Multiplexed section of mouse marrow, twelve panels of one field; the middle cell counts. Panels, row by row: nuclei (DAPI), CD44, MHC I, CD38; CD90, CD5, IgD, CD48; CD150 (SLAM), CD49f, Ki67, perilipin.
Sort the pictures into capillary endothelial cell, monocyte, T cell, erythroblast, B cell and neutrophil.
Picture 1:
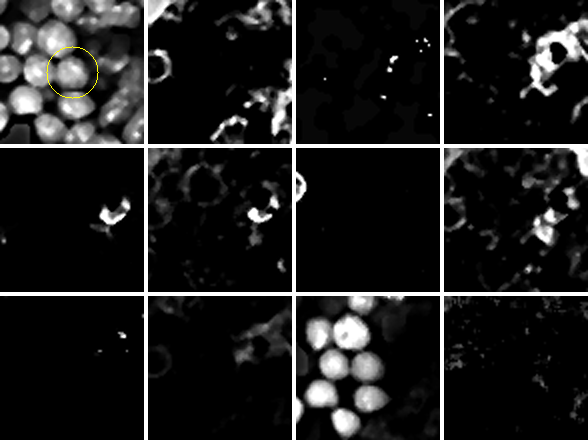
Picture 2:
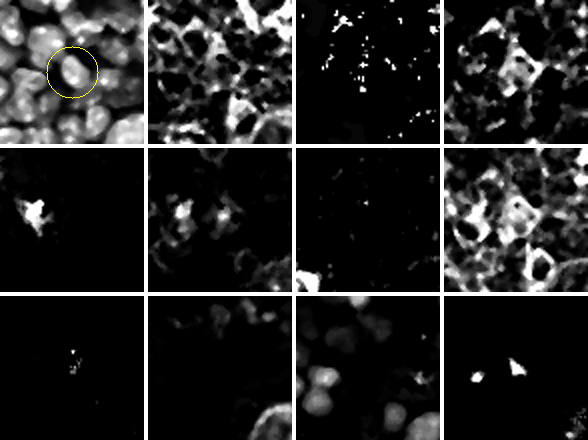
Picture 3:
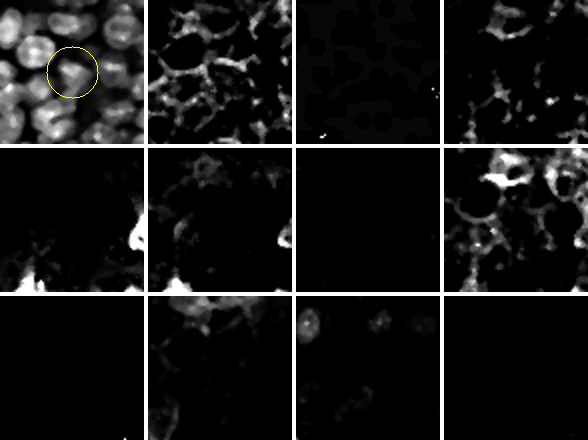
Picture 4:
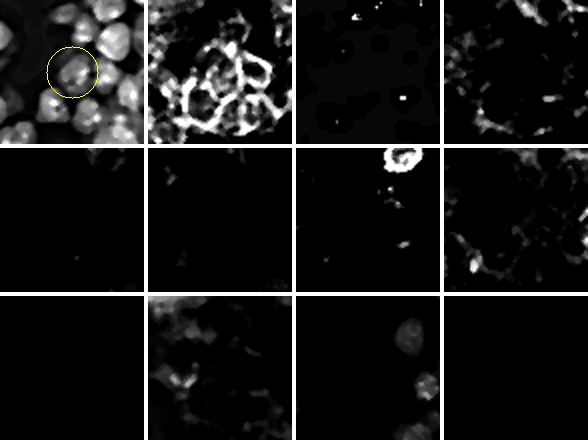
Erythroblasts: 1
Monocytes: 2
Neutrophils: 3, 4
